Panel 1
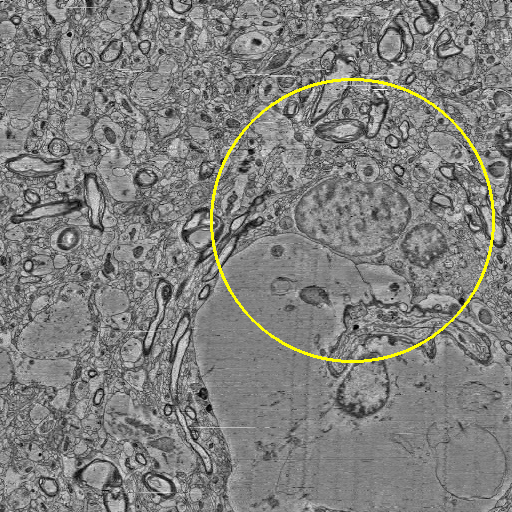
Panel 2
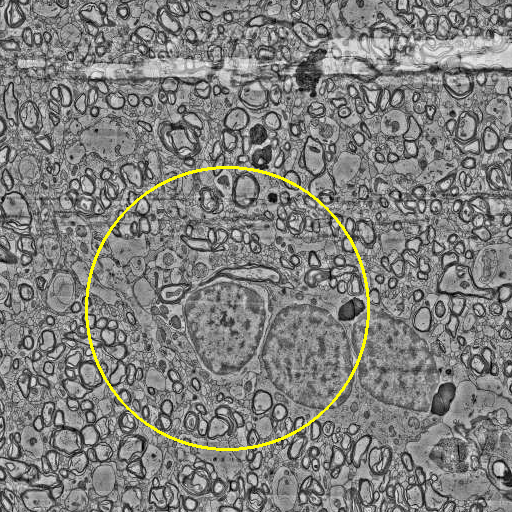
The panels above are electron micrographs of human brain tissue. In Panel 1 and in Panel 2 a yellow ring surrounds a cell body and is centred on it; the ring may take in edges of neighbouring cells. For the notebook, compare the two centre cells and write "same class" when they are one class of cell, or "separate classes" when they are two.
separate classes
